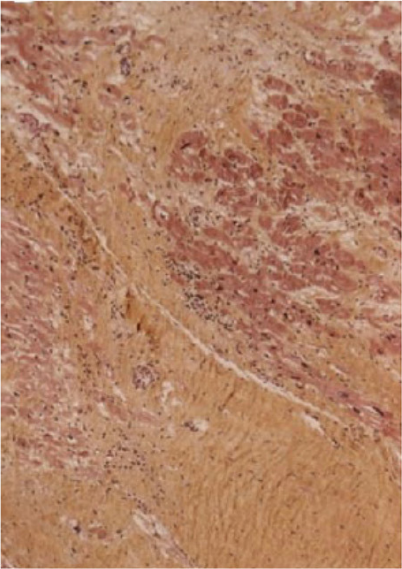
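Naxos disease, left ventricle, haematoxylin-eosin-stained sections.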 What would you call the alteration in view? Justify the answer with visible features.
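A broad band of homogeneous pale orange tissue lacking muscle fibers. Remaining pink muscle fibers lie beside this band. On this evidence: replacement fibrosis.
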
